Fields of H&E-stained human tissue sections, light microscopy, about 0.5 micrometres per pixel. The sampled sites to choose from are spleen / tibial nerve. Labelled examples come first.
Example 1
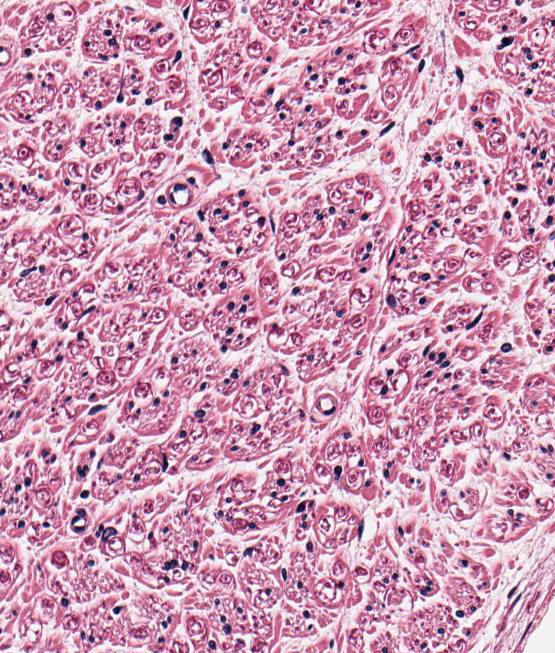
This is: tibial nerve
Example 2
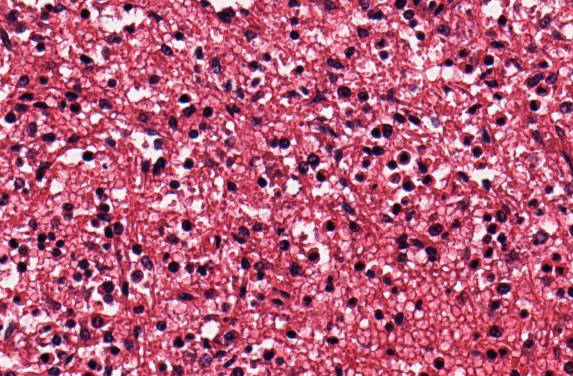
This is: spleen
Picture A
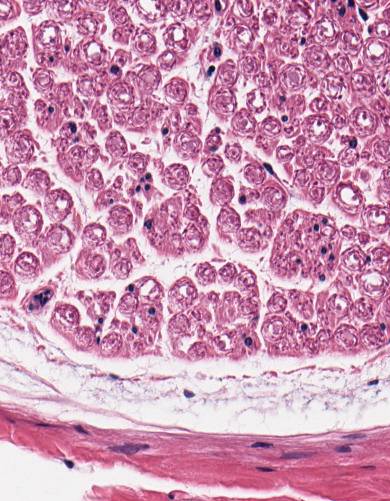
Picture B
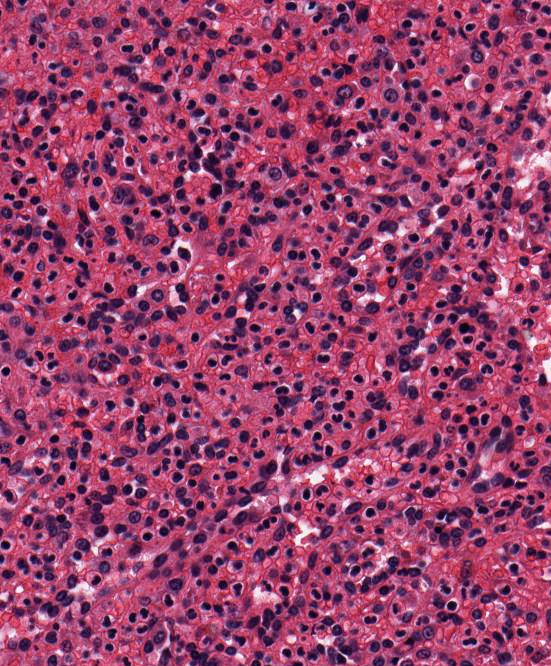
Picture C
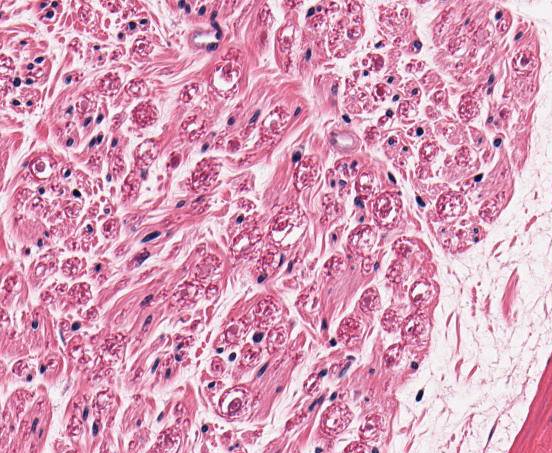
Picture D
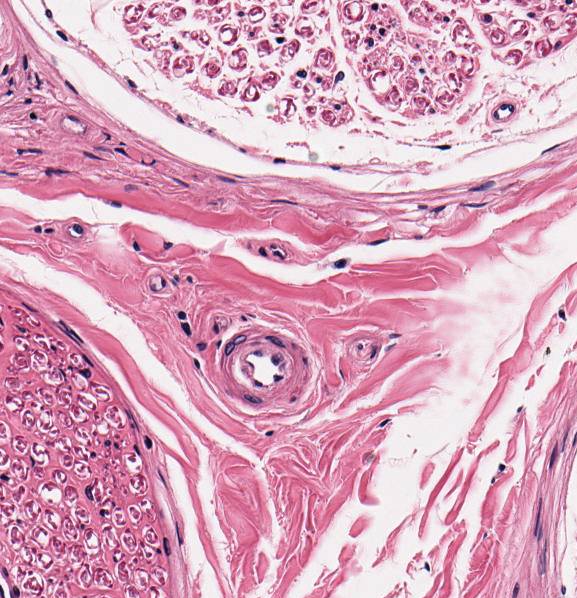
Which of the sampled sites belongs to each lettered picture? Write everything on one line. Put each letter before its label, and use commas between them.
A tibial nerve, B spleen, C tibial nerve, D tibial nerve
